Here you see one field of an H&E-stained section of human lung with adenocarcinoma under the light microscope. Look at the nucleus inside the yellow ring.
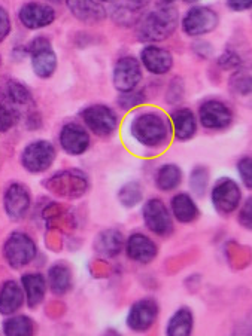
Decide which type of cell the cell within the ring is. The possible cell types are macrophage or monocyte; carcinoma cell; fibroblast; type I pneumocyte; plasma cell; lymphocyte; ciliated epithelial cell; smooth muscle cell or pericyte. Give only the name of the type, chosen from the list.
lymphocyte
